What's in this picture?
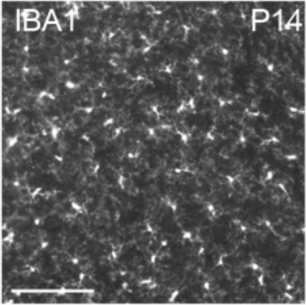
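This is brain tissue with microglia scattered through the field. The cells show as bright white small cell bodies on a darker background. Each cell body gives off several thin, branching processes, giving the cells a ramified, spidery look. The cells are distributed fairly evenly, each occupying its own territory with little overlap between neighbours.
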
